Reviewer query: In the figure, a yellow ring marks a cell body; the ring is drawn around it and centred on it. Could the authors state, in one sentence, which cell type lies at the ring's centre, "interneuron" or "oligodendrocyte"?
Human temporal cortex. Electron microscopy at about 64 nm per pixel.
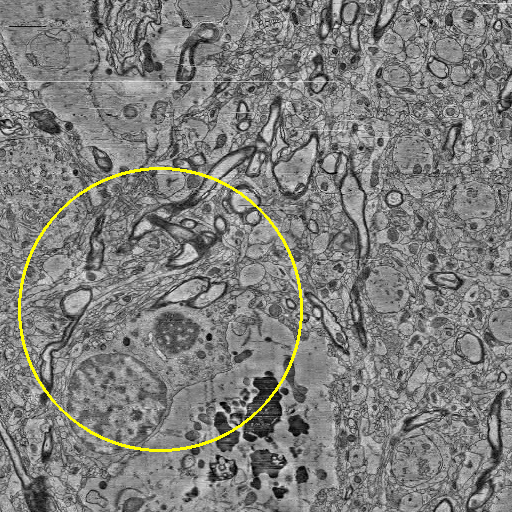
The ring is centred on an oligodendrocyte.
